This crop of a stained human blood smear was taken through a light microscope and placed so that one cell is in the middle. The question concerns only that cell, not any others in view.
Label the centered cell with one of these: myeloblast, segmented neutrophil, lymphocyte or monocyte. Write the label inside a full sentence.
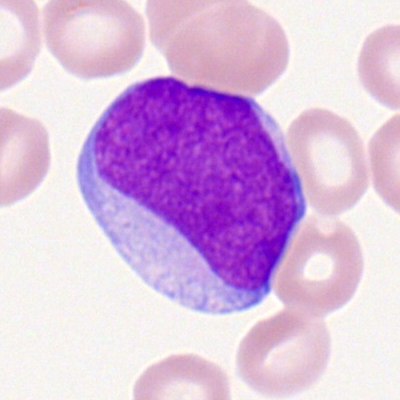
The middle of this crop holds a myeloblast.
